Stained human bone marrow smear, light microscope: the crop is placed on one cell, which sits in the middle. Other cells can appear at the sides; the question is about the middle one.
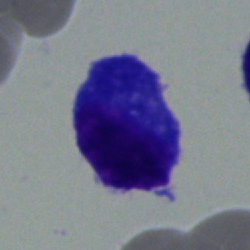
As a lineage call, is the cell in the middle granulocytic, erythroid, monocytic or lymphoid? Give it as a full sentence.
The cell situated centrally in the crop is of the lymphoid lineage.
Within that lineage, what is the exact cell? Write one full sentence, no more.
Centrally within this crop lies a plasma cell.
